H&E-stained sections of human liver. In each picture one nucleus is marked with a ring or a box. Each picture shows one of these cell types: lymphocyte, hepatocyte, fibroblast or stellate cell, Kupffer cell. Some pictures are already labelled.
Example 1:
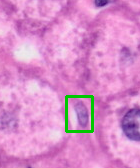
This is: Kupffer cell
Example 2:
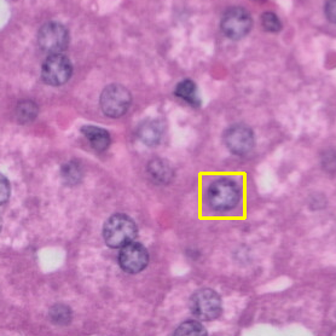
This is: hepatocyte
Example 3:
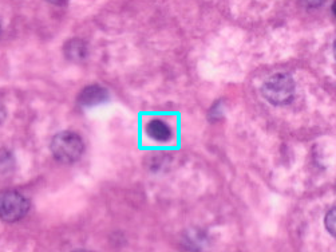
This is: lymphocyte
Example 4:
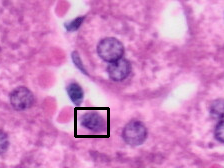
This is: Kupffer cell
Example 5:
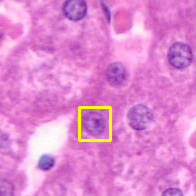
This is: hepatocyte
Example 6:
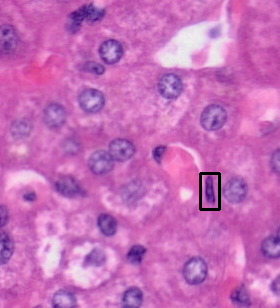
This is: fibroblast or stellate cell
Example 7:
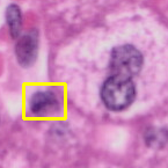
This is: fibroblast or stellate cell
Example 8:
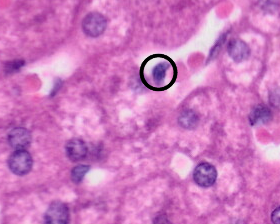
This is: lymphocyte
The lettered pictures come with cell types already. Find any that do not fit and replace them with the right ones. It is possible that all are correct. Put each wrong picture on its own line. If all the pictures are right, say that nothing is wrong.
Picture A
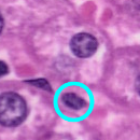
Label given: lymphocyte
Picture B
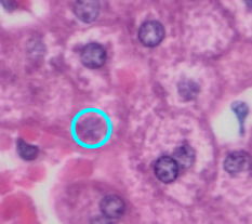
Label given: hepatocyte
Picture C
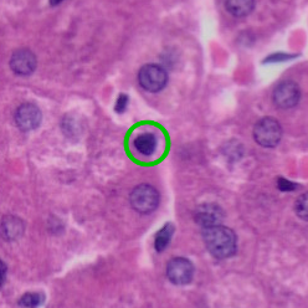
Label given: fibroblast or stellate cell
All labels are correct.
